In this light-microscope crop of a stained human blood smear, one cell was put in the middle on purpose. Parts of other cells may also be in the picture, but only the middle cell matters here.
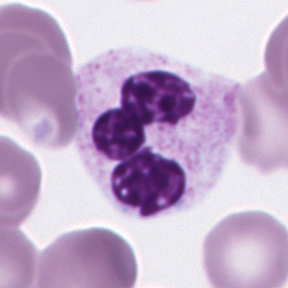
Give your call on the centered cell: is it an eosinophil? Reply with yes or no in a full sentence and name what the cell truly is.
No, the cell at the centre is a segmented neutrophil, which rules out an eosinophil.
